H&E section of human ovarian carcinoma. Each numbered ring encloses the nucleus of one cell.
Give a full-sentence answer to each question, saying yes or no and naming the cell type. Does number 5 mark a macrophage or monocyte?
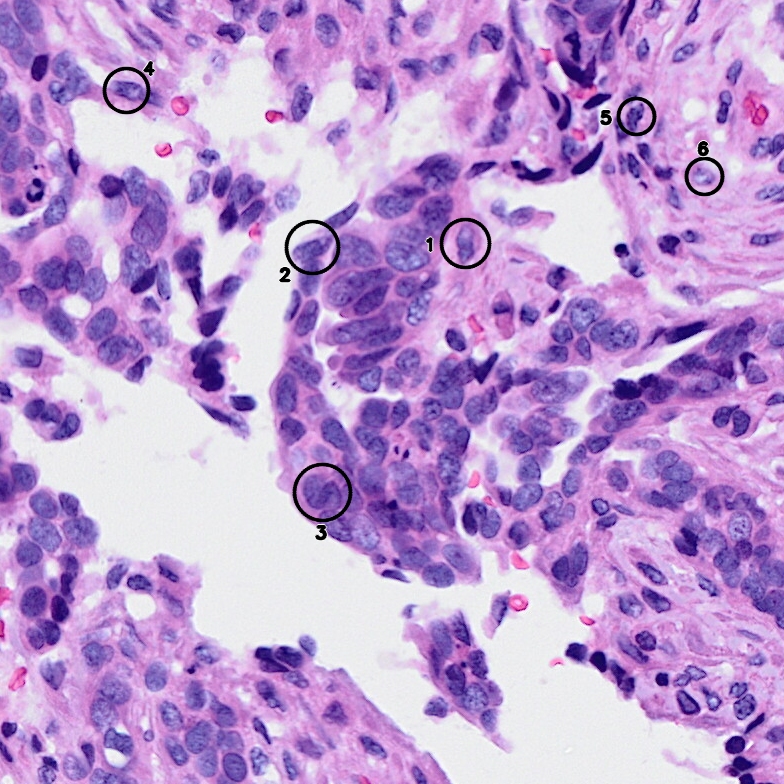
No, it is a lymphocyte, not a macrophage or monocyte, at number 5.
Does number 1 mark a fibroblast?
Yes, looking at number 1, that cell is a fibroblast.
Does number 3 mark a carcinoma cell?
Yes, that is correct: the cell numbered 3 is a carcinoma cell.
